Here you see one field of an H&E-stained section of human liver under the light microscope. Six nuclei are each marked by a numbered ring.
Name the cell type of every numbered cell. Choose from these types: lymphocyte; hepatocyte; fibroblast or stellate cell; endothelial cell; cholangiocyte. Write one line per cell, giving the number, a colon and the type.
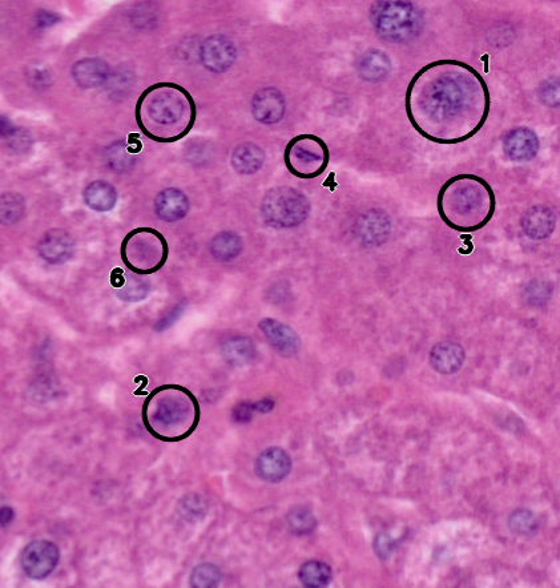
1: hepatocyte
2: endothelial cell
3: hepatocyte
4: fibroblast or stellate cell
5: hepatocyte
6: hepatocyte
